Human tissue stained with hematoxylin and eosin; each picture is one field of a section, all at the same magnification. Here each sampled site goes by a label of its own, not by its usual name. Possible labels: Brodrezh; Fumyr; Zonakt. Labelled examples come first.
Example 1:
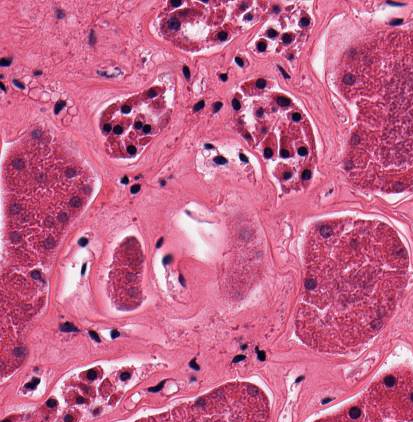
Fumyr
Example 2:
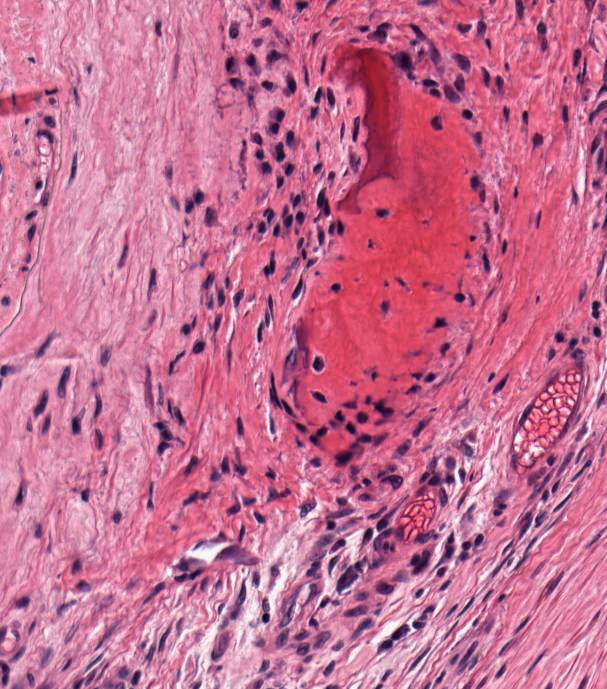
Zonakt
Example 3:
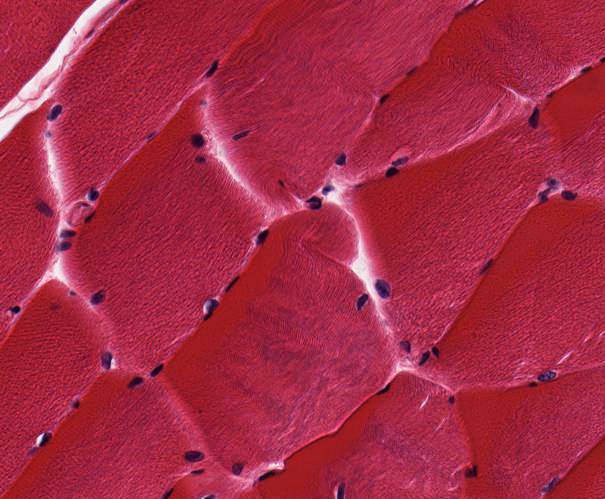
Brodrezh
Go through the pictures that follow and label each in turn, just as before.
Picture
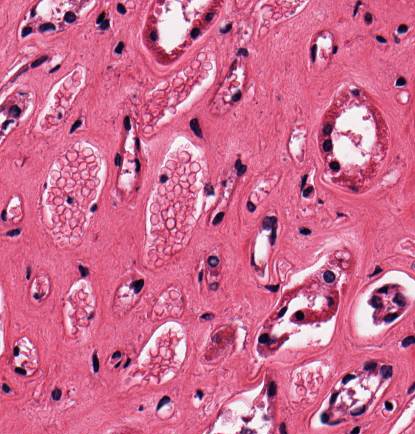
Fumyr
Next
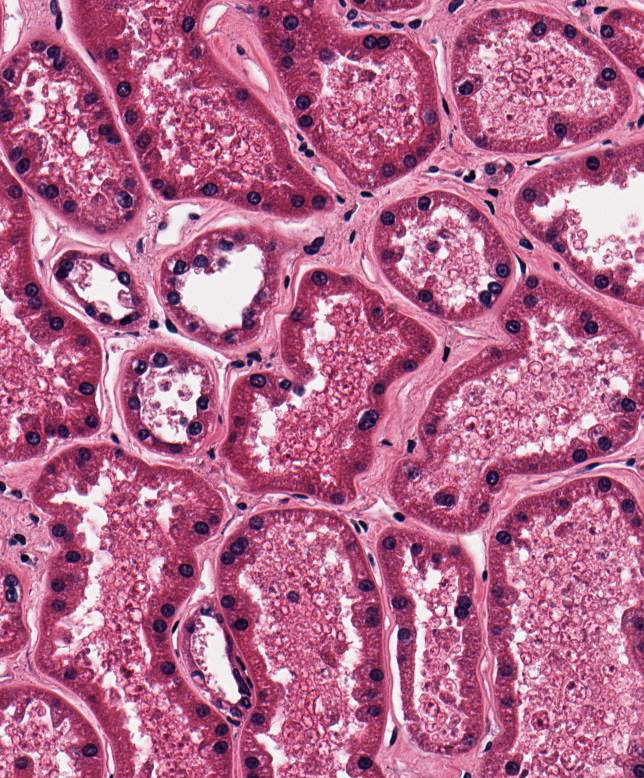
Fumyr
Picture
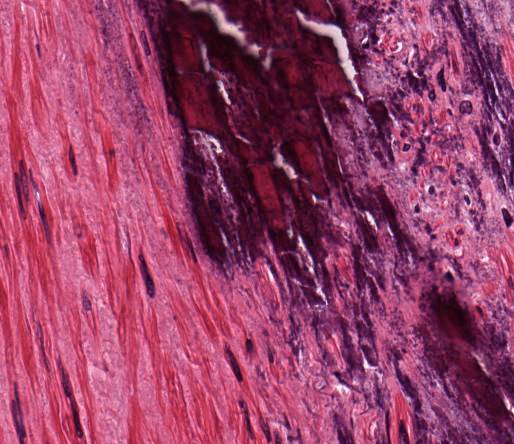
Zonakt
